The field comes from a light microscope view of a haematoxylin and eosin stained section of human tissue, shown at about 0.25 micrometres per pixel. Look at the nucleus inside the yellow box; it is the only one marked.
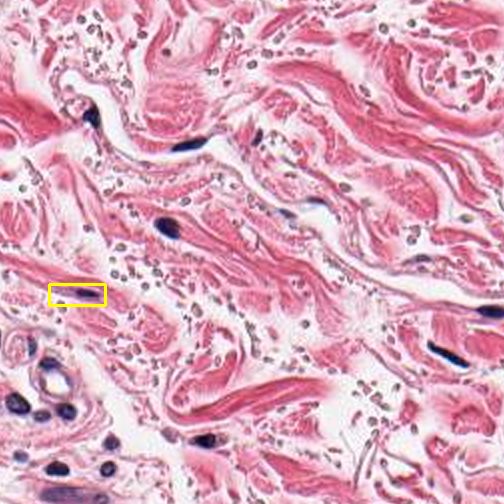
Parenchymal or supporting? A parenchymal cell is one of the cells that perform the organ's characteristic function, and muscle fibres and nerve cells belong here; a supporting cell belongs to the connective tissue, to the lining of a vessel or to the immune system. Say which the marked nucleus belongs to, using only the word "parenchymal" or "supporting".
supporting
